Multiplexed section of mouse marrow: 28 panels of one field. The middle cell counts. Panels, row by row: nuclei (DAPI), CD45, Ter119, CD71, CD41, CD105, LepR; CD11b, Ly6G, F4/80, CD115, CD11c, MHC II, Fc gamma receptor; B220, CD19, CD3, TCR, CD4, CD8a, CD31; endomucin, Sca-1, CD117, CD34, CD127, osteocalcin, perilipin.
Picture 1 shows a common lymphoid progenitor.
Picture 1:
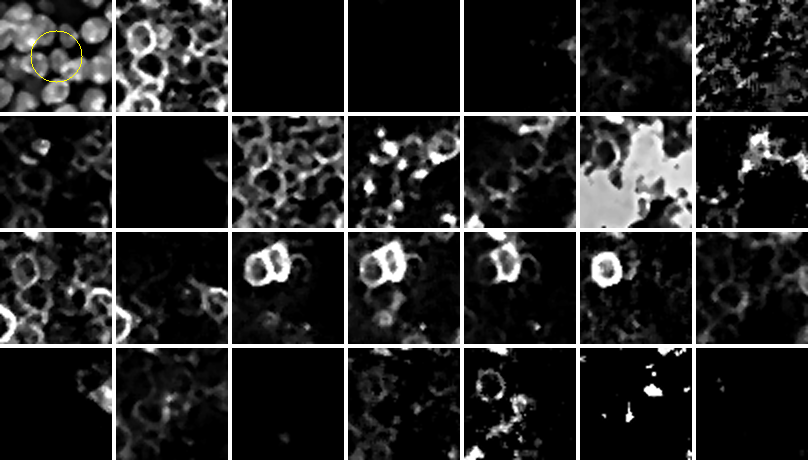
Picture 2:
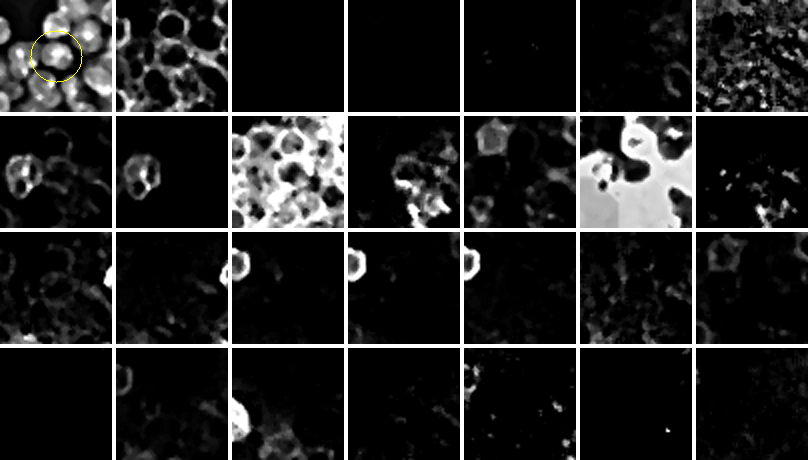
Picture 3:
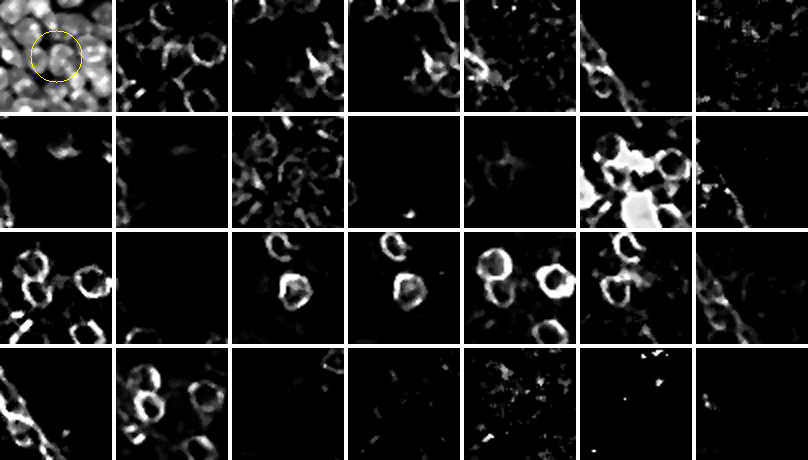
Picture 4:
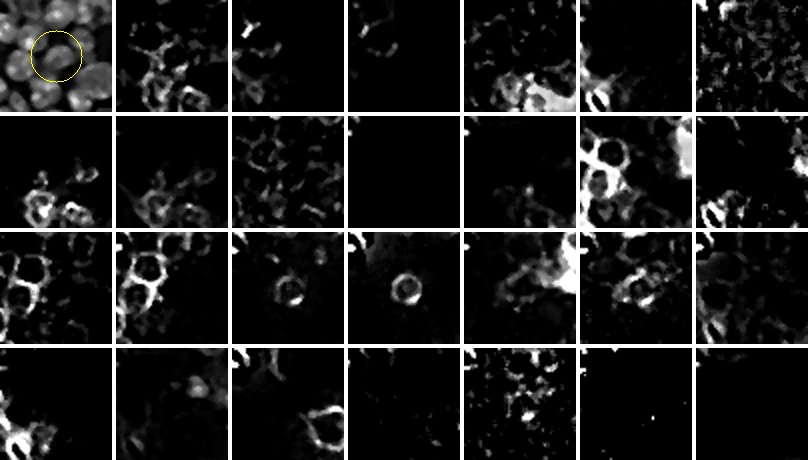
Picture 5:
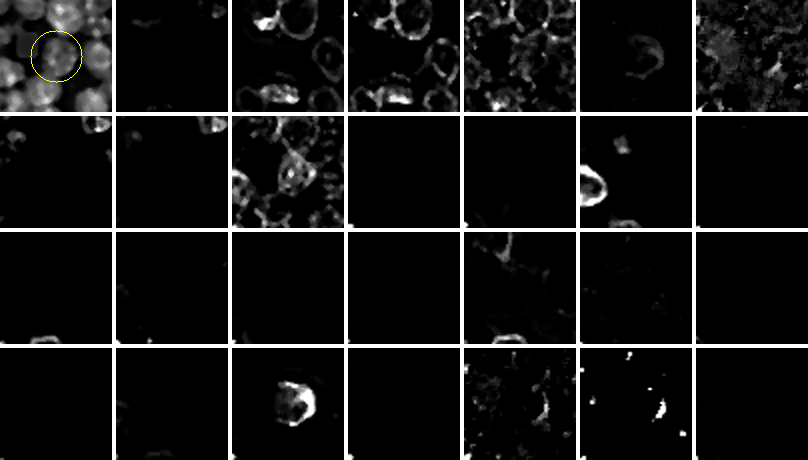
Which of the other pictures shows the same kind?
Picture 4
